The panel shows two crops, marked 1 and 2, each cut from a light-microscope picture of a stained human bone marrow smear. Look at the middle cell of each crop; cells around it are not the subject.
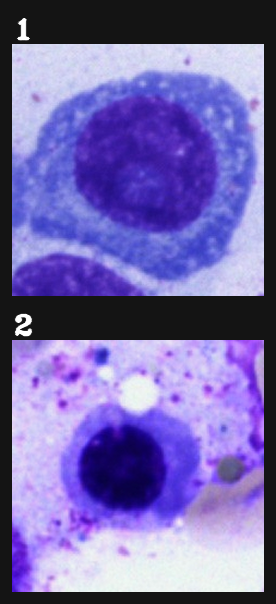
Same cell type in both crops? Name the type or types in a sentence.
No, crop 1 gives us a plasma cell and crop 2 gives us a normoblast.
